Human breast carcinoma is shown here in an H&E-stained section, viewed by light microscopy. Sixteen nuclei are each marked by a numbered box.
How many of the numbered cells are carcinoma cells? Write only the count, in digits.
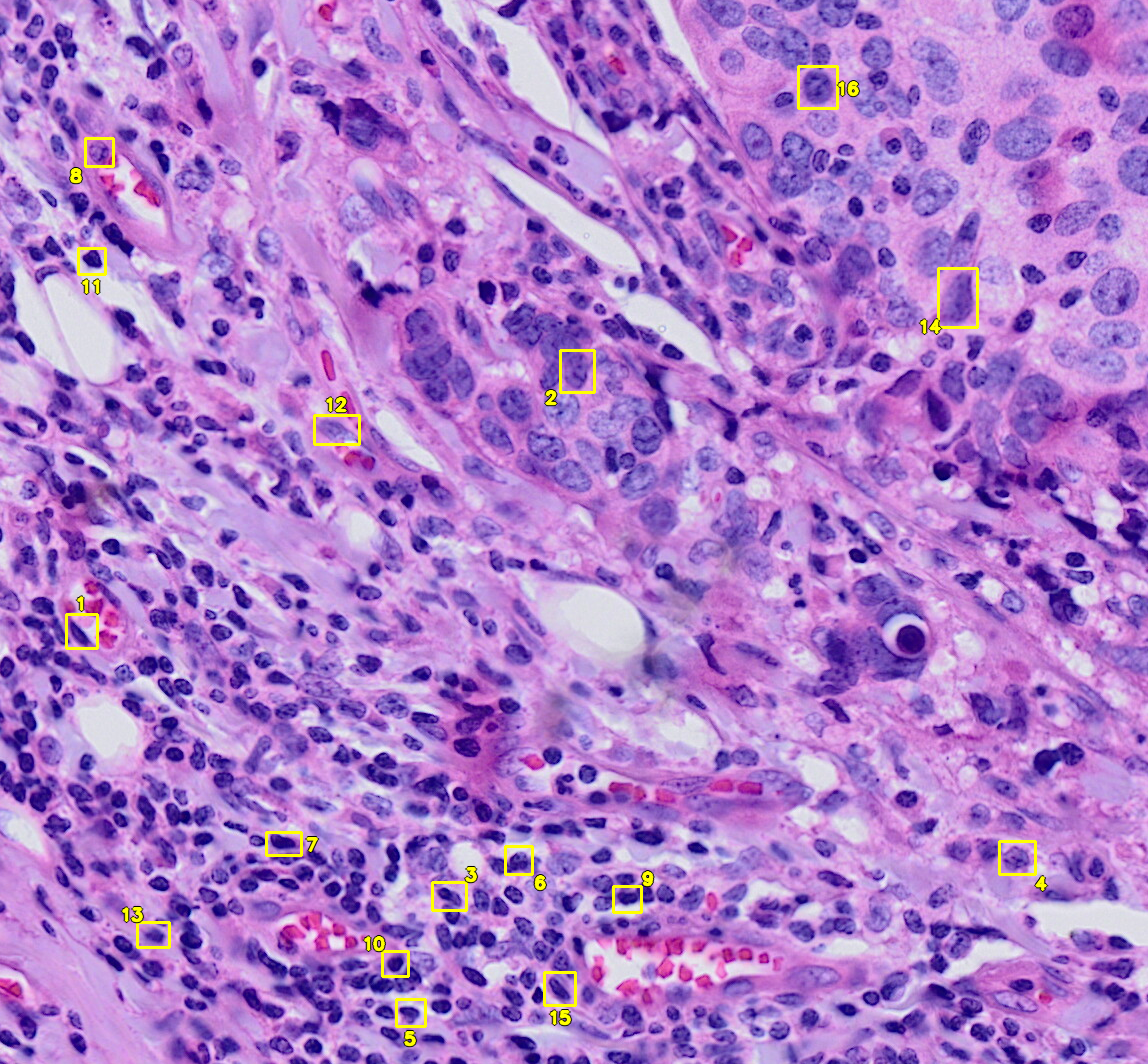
3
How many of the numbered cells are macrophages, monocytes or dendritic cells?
1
